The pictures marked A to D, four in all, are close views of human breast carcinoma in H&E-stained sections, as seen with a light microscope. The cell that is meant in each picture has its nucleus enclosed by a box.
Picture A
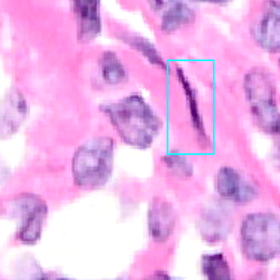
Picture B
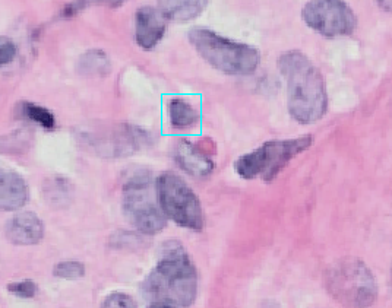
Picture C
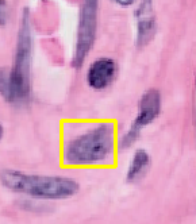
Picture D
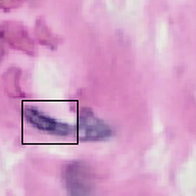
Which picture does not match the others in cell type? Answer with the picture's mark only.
A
